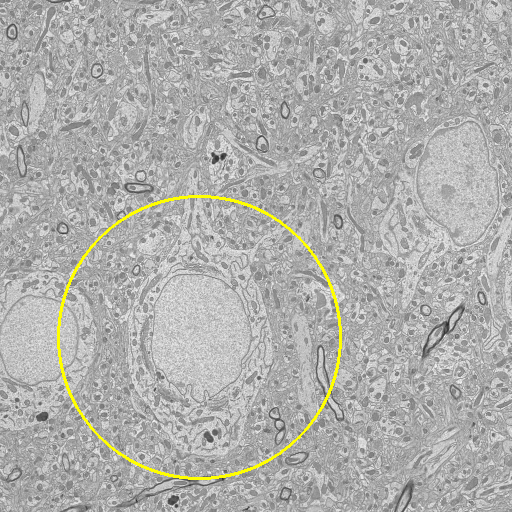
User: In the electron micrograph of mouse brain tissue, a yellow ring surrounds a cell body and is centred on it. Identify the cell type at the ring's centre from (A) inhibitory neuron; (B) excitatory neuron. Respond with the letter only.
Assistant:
A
